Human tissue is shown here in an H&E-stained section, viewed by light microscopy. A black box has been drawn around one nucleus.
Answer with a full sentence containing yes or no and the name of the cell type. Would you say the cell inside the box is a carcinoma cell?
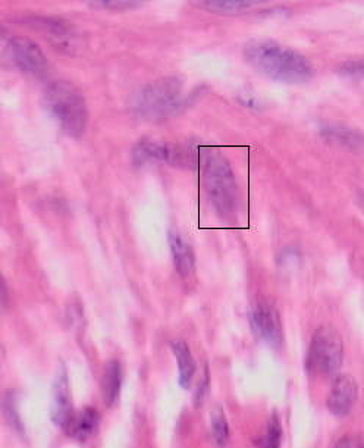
No, on this one the cell inside the box is a fibroblast, not a carcinoma cell.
